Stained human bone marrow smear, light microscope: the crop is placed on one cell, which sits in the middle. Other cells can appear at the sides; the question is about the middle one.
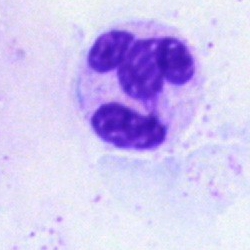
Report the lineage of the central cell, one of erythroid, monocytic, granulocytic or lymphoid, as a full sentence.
Regarding the central cell, its lineage is granulocytic.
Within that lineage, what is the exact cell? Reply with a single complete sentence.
In the centre of this crop there is a segmented neutrophil.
